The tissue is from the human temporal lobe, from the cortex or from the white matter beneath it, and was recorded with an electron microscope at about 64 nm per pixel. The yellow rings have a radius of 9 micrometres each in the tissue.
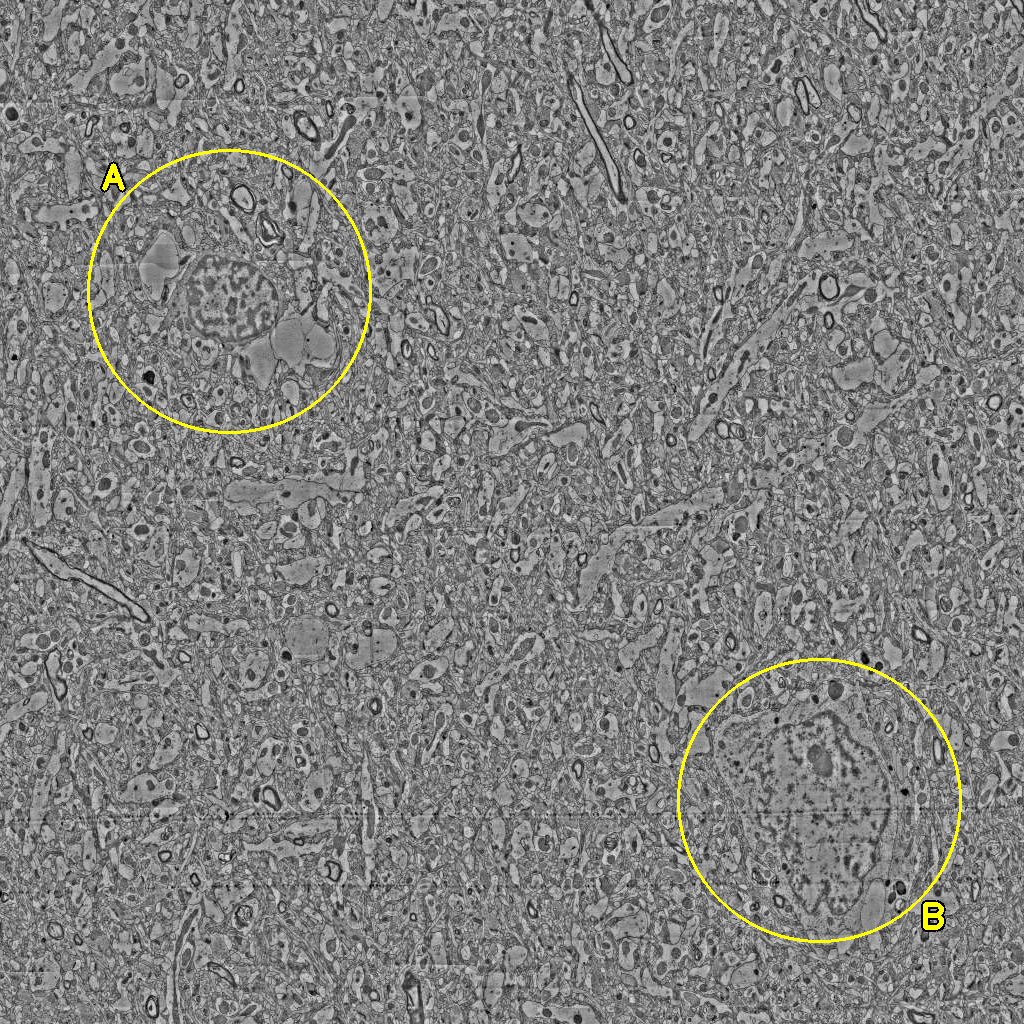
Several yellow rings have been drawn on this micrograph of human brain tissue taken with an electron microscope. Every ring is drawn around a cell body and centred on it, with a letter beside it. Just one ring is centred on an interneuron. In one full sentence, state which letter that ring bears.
At the centre of ring B is a cell of that kind.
